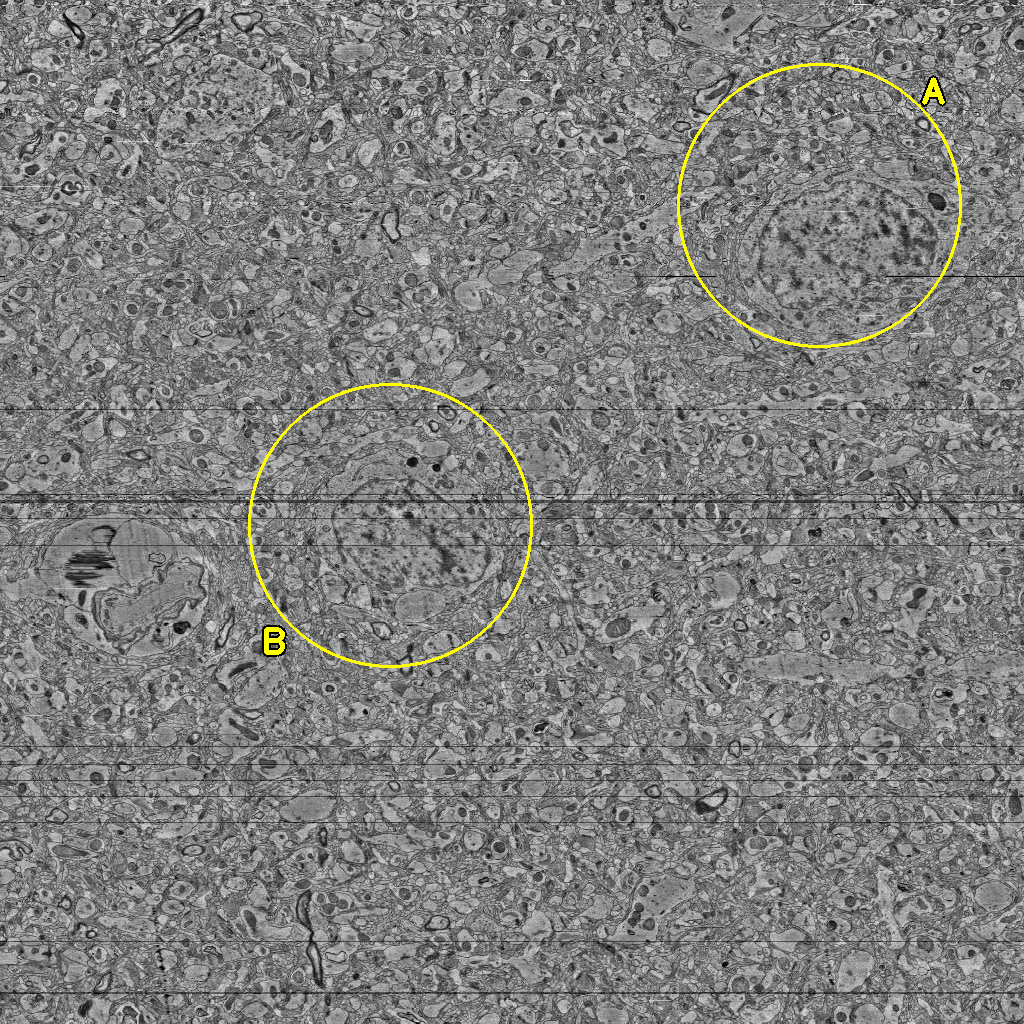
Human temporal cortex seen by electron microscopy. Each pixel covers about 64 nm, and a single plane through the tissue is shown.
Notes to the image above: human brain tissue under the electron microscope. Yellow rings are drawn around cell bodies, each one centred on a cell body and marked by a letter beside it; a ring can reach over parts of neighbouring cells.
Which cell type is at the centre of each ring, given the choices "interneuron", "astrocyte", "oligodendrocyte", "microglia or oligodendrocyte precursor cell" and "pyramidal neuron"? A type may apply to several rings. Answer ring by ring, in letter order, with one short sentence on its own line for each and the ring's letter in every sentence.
Inside ring A, at its centre, is an interneuron.
Inside ring B, at its centre, is an interneuron.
